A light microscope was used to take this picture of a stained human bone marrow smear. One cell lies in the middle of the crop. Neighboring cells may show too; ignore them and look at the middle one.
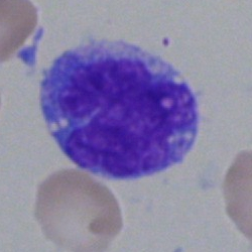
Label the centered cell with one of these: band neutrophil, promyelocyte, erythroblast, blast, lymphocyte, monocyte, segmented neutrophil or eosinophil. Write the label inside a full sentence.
The cell in the middle of this crop is a monocyte.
